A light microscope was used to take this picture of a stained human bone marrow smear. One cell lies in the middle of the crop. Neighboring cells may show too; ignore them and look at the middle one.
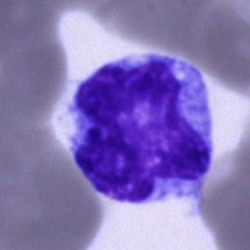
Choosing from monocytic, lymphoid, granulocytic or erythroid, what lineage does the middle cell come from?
monocytic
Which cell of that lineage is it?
monocyte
